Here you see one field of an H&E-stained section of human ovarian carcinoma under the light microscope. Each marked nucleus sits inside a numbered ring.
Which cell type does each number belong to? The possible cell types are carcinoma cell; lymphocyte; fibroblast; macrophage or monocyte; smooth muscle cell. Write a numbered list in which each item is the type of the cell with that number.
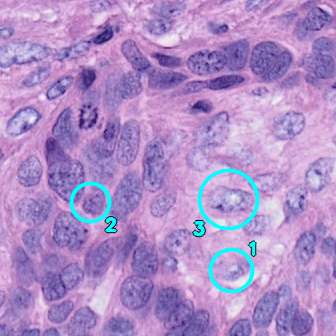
1. fibroblast
2. carcinoma cell
3. fibroblast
